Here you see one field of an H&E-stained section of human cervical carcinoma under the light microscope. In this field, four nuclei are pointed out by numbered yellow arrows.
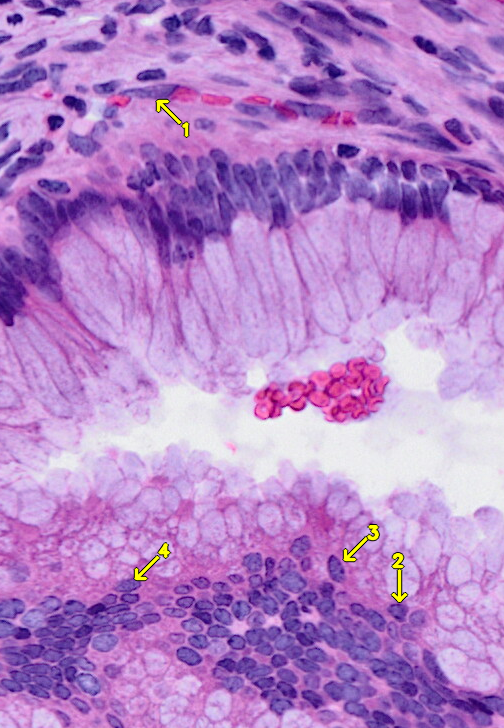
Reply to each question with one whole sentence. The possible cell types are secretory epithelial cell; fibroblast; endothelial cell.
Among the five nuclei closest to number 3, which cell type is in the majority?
Most of the five nuclei nearest to number 3 are those of secretory epithelial cells.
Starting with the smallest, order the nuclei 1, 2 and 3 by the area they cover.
The order from the smallest nucleus to the largest is 2, 3, 1.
